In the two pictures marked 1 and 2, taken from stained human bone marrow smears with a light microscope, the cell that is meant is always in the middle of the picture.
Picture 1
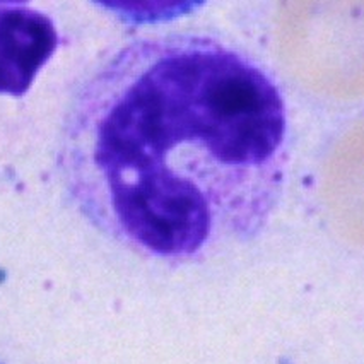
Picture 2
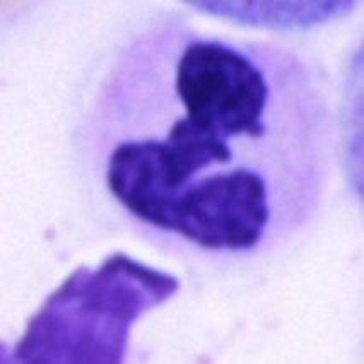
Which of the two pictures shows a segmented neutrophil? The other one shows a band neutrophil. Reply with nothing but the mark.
2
